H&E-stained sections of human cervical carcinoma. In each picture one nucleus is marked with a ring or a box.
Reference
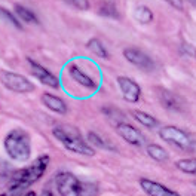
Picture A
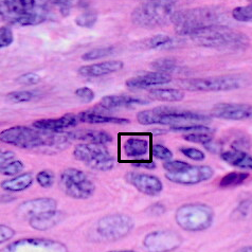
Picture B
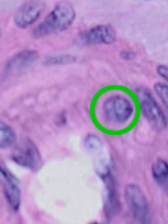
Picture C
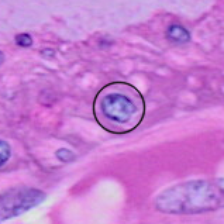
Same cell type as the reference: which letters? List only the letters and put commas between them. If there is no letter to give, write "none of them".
B, C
